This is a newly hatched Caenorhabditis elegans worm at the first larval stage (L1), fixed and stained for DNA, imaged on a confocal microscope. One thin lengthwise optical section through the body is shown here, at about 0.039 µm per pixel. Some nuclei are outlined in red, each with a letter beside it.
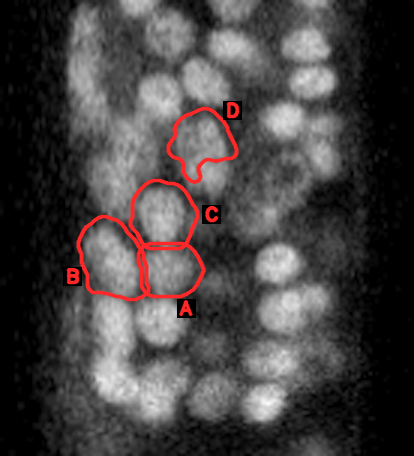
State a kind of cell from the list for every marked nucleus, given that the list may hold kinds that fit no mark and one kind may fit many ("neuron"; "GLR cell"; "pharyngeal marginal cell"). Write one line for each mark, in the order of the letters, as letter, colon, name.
A: neuron
B: neuron
C: neuron
D: pharyngeal marginal cell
